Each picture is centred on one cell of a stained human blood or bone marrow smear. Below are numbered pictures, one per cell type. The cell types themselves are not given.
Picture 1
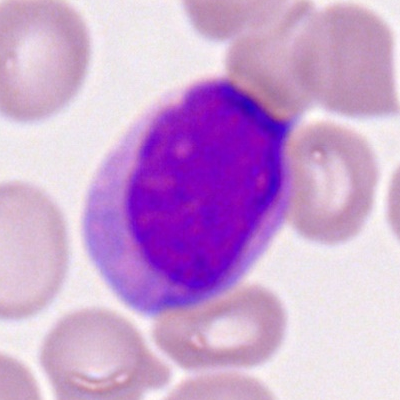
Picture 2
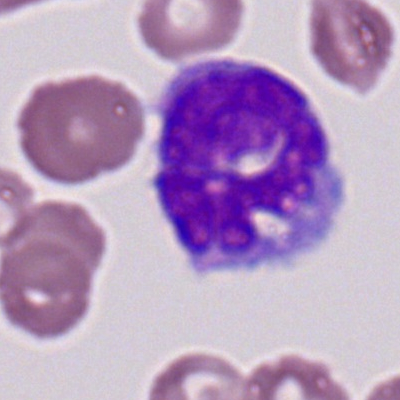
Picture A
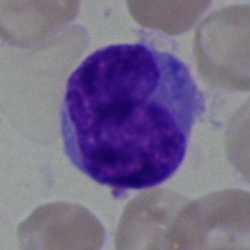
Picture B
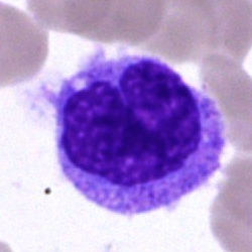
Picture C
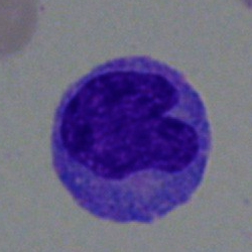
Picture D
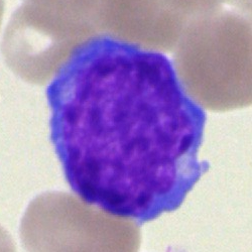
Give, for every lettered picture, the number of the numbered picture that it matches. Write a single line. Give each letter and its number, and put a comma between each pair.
A 2, B 2, C 2, D 1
